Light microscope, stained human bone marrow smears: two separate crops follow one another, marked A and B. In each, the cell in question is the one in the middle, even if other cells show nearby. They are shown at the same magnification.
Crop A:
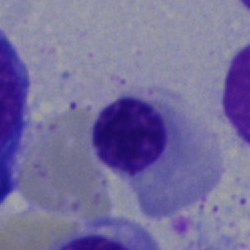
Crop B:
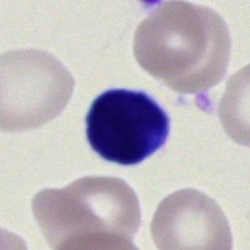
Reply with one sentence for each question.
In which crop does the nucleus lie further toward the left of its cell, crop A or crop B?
It is the nucleus in crop A that lies further toward the left of its cell.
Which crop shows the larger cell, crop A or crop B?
Larger is the cell in crop A, at roughly 2 times the area of the other.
